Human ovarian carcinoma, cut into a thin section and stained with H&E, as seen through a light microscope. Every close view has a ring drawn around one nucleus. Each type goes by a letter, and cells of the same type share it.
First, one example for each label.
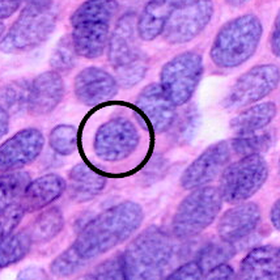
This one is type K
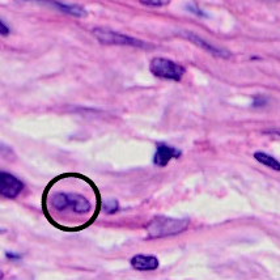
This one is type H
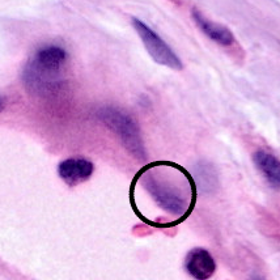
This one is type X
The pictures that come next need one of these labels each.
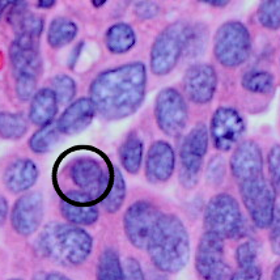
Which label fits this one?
type K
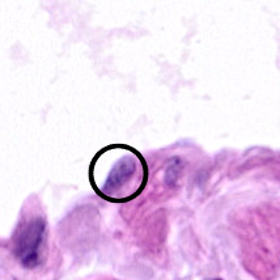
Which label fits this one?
type X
